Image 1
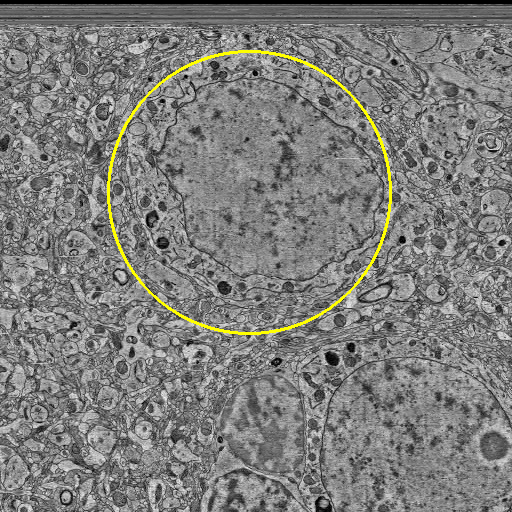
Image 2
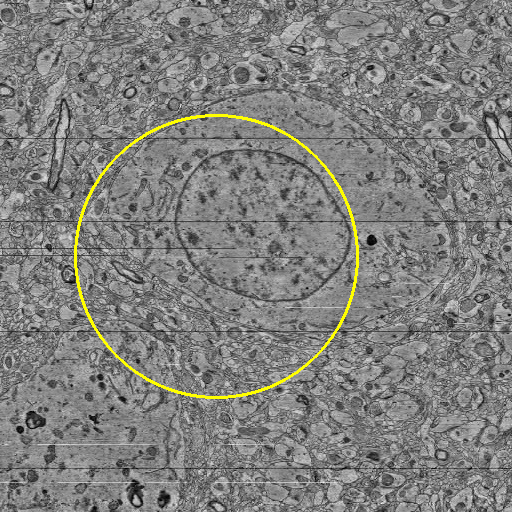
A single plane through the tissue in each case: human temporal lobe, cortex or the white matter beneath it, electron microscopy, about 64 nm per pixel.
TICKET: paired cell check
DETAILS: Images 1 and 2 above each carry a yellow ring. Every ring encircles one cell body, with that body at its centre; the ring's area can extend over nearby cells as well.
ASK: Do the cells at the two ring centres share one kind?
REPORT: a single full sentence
Yes, the ring-centre cells of Images 1 and 2 belong to a single kind.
